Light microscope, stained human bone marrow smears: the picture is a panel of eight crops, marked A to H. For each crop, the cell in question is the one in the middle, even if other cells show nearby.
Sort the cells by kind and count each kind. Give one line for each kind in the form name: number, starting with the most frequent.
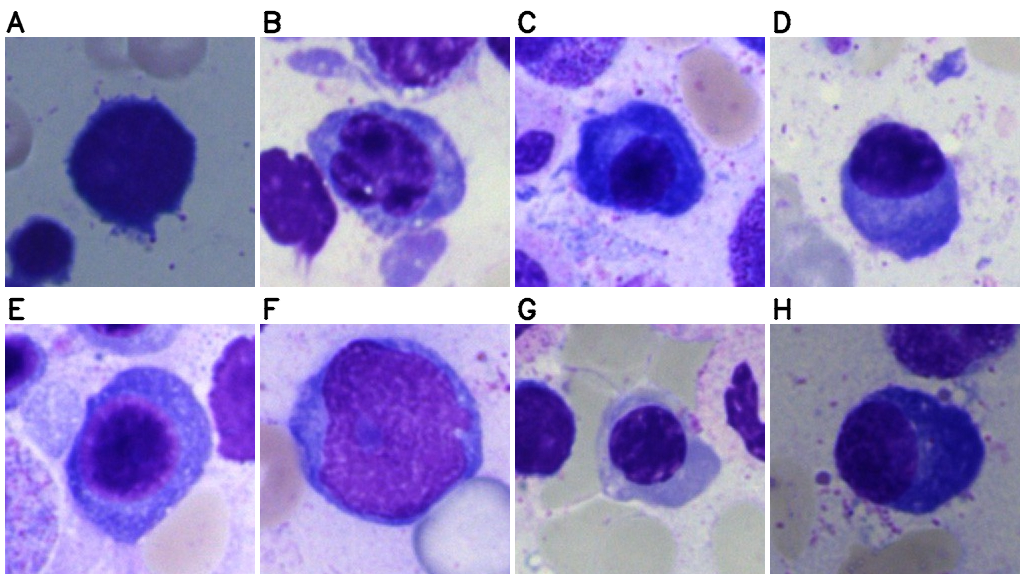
plasma cell: 5
blast: 2
erythroblast: 1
